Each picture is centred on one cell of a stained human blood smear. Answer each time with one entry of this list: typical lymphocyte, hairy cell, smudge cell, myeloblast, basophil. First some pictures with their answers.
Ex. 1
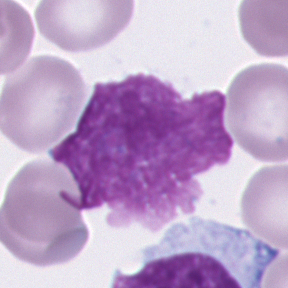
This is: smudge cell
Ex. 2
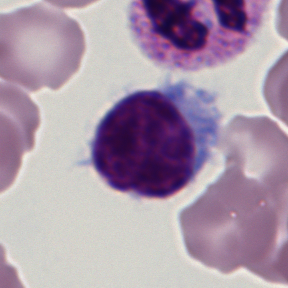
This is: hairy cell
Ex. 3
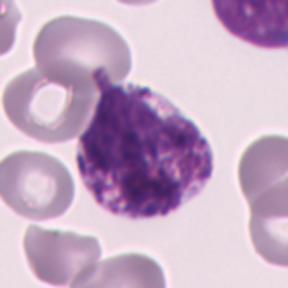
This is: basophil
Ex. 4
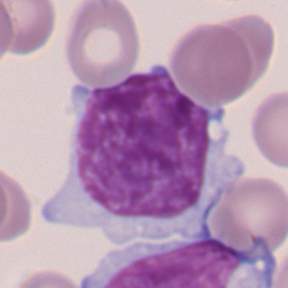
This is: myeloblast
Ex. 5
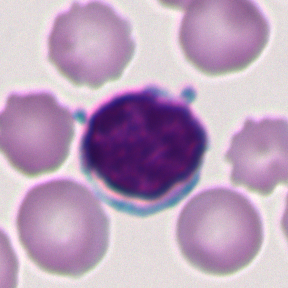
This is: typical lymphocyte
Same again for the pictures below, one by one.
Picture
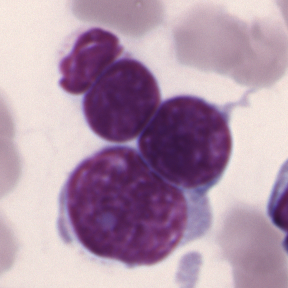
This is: myeloblast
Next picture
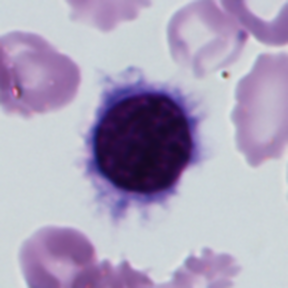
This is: hairy cell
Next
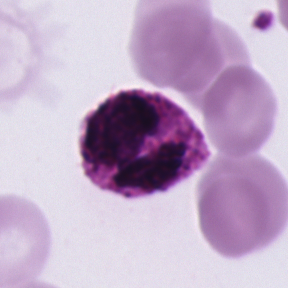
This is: basophil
